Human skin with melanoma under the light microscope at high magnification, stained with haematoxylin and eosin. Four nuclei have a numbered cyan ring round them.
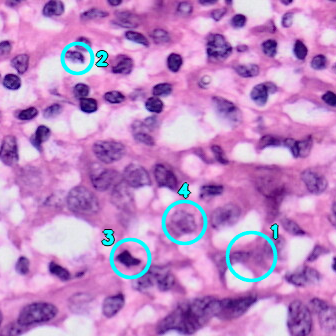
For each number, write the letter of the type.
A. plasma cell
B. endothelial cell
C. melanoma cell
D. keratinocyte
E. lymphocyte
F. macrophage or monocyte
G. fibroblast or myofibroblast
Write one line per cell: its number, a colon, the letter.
1: C
2: E
3: E
4: C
